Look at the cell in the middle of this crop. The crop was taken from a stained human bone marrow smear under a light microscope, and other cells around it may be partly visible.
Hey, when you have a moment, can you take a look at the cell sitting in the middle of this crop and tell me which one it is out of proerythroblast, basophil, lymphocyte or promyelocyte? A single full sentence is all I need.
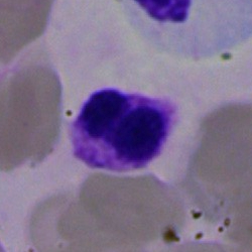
The cell positioned in the middle of the field is a basophil.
